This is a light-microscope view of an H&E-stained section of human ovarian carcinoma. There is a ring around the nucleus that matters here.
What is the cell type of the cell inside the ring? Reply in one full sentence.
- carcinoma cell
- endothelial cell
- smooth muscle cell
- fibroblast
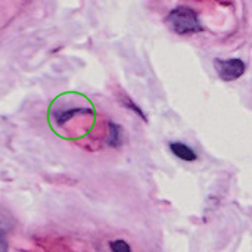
In terms of identity, the cell inside the ring is an endothelial cell.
